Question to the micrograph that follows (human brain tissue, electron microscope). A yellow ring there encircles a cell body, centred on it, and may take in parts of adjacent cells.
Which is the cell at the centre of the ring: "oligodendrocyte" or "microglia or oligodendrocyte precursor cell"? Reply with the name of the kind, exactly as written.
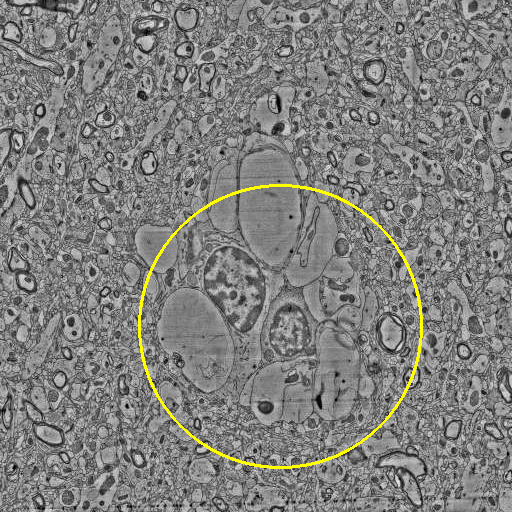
oligodendrocyte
